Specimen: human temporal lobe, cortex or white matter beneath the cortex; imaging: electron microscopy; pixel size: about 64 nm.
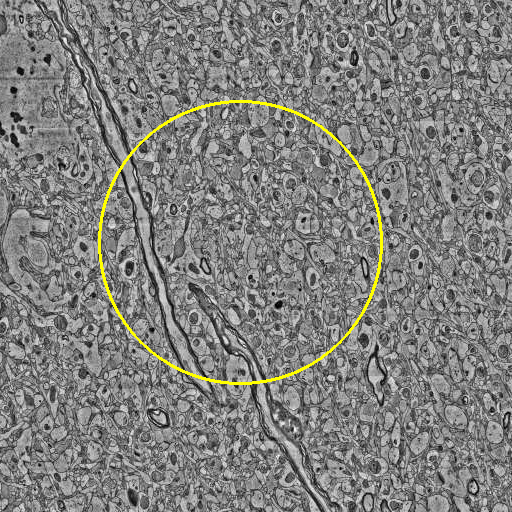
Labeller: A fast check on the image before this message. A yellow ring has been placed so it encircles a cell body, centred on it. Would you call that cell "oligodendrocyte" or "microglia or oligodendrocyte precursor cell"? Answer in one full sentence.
In this image, a microglial cell or oligodendrocyte precursor cell is the cell on which the yellow ring is centred.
